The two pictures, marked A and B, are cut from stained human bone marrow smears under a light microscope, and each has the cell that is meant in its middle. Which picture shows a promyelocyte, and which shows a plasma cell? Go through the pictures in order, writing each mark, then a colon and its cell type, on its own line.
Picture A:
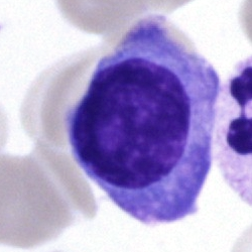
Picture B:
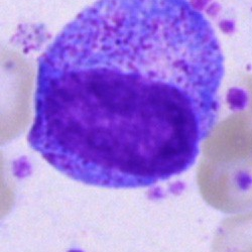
A: plasma cell
B: promyelocyte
